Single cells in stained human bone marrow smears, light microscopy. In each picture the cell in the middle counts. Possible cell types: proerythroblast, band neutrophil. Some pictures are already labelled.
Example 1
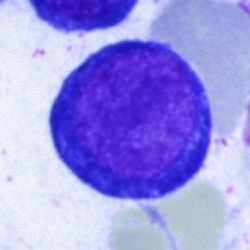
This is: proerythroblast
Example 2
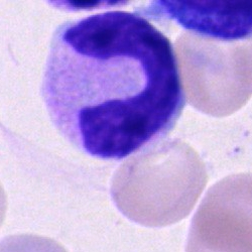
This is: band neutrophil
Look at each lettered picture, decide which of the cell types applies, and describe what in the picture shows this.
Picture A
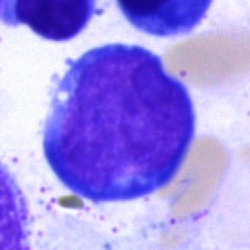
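proerythroblast. The cytoplasm is scant, forming only a thin rim around the nucleus.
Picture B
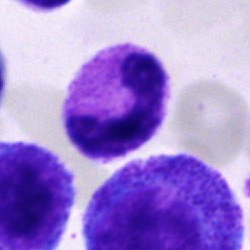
band neutrophil. The nucleus is a curved band that wraps around the upper right and lower side of the cell.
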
